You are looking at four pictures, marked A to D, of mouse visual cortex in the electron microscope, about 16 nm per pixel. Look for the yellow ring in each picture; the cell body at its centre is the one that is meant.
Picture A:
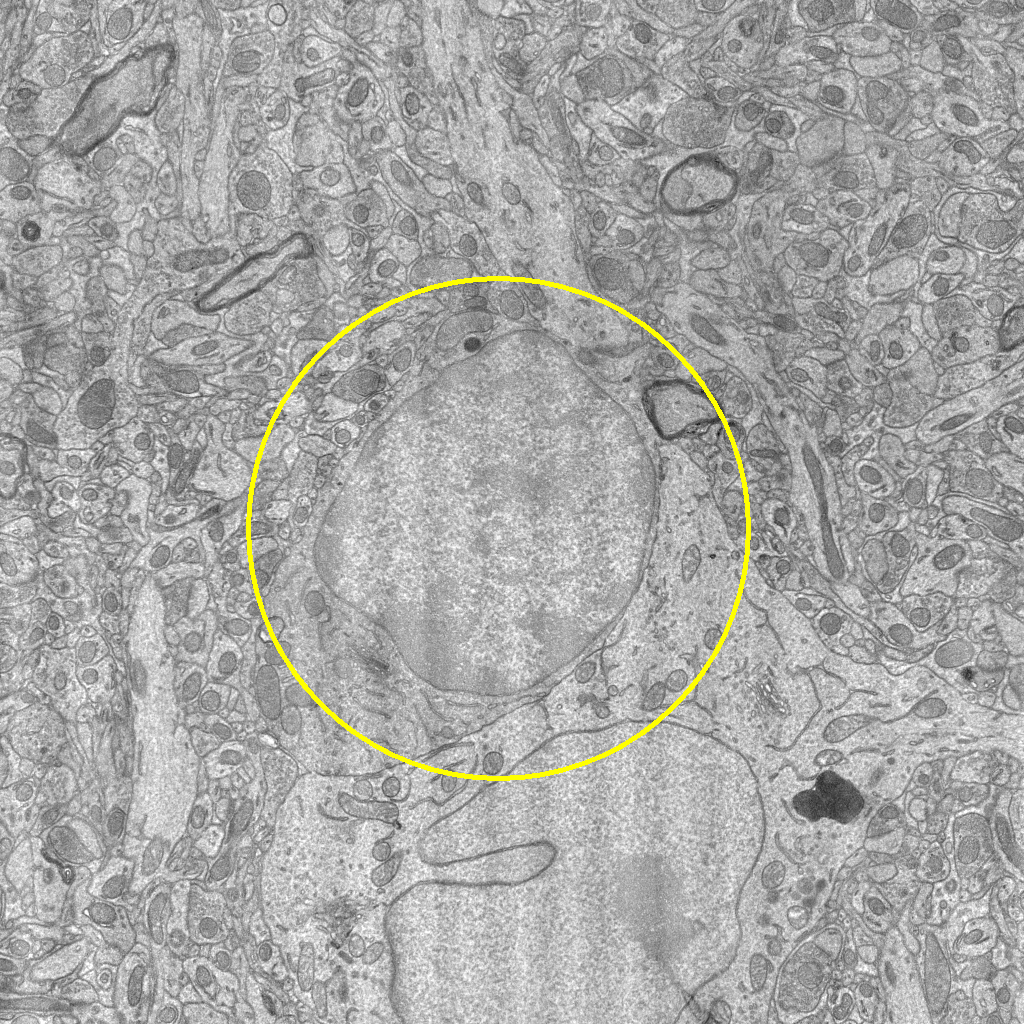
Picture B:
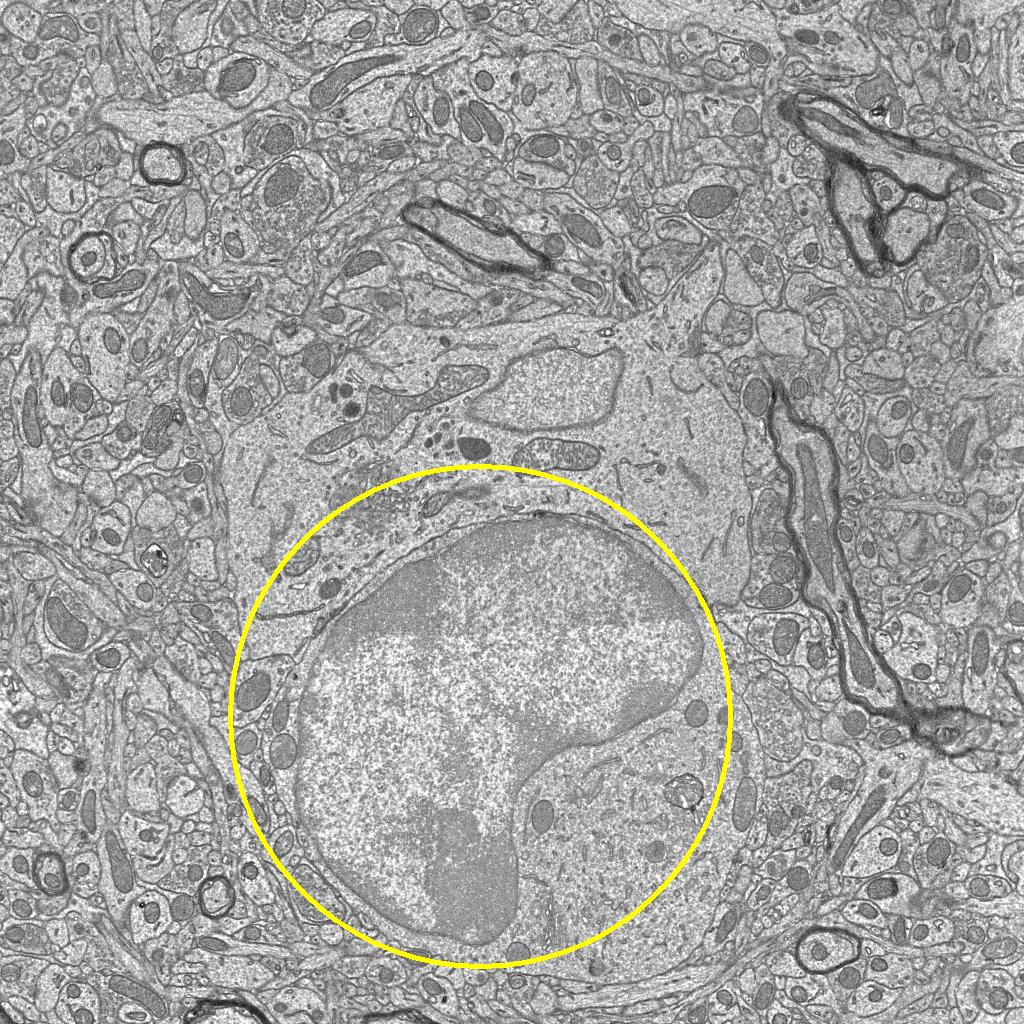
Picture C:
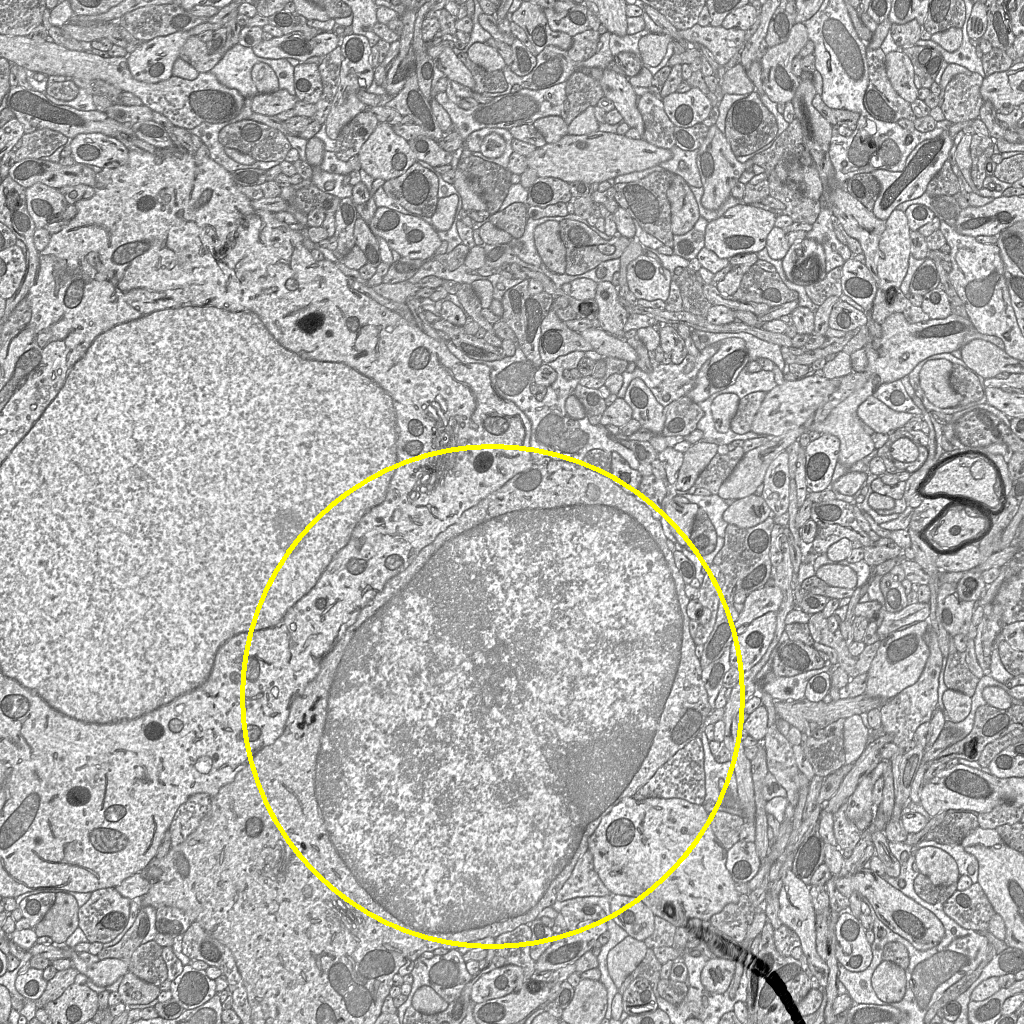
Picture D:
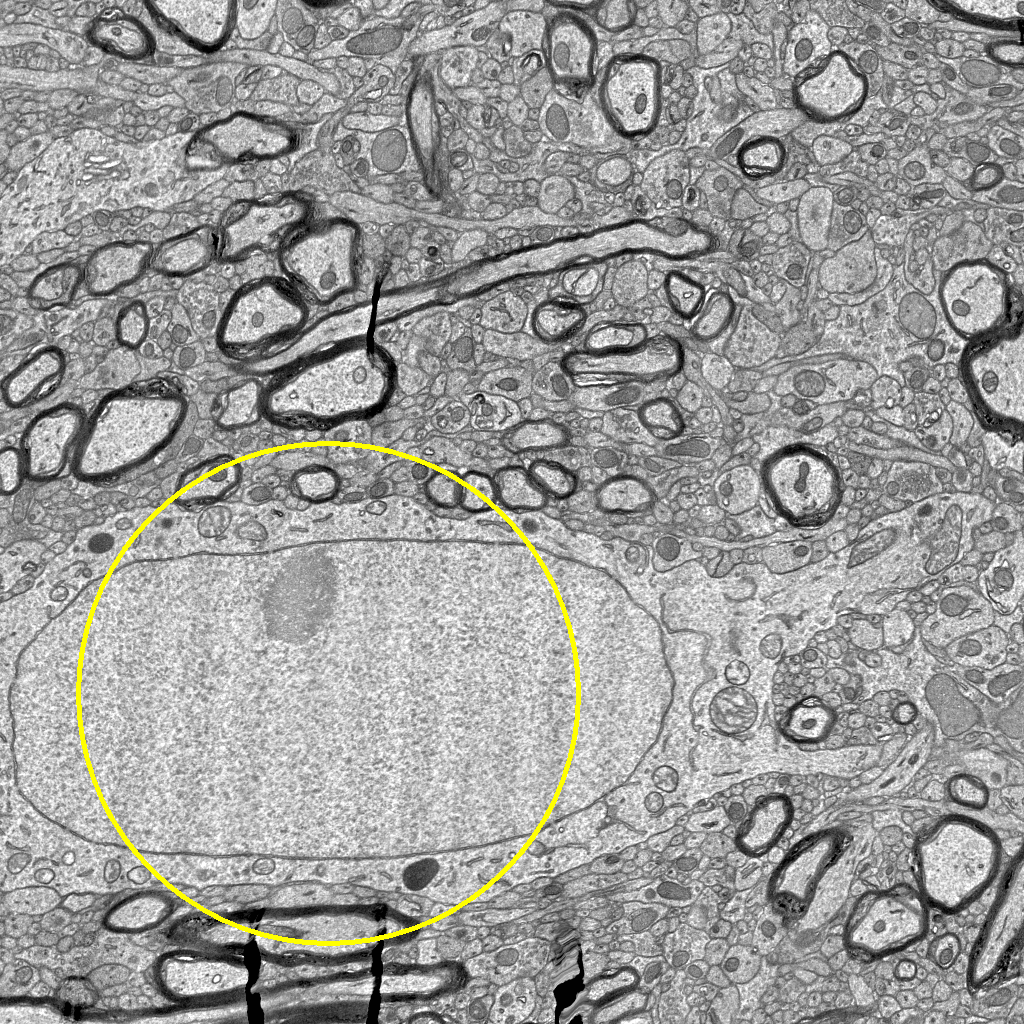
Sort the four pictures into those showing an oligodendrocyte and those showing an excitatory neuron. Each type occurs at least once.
Pictures A, B and C show oligodendrocytes, while picture D shows an excitatory neuron.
